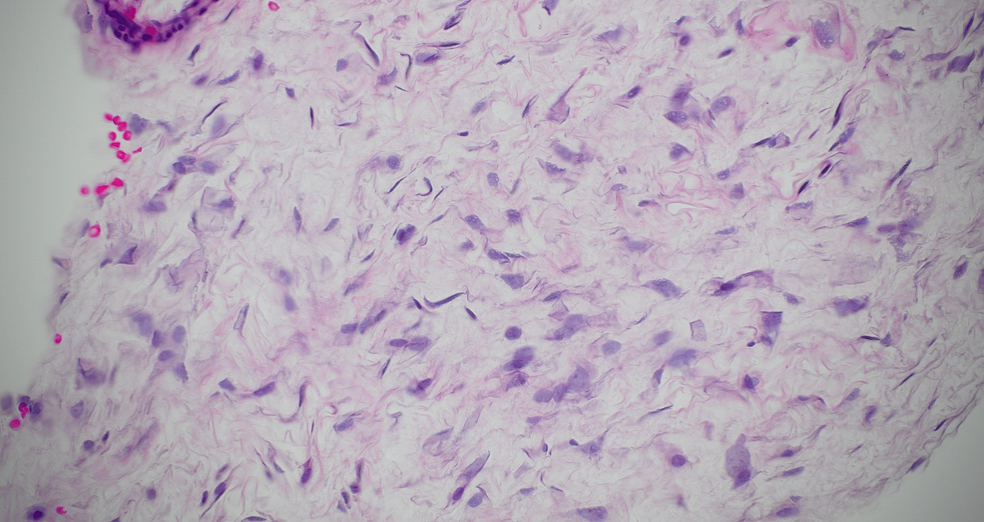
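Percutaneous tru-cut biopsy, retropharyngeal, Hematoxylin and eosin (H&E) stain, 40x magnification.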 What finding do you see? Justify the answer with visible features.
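Atypical nuclear features. Scattered nuclei are enlarged and darker than their neighbours. Nuclei vary markedly in size and shape, some irregular and angulated. Several dark, plump nuclei lie among thin spindle nuclei in a loose stroma.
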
